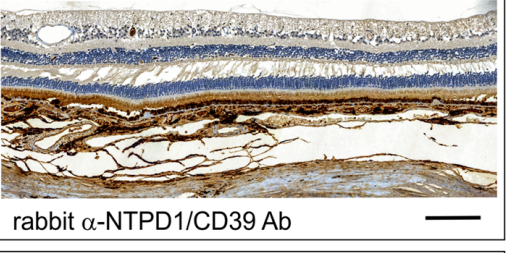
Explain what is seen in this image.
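From the inner surface outward, a thin pale fibrous layer with a round blood vessel lumen is followed by scattered blue nuclei, then a pale plexiform band and two dense blue bands of packed nuclei separated by a thin fibrous band. Outside the outer nuclear band lies a thick band of brown-stained, finely striated photoreceptor segments. Beneath a space, the subretinal tissue consists of wavy dark brown strands and pigmented layers of the choroid with interspersed pale spaces.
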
